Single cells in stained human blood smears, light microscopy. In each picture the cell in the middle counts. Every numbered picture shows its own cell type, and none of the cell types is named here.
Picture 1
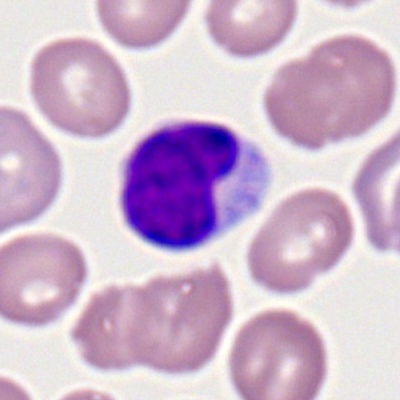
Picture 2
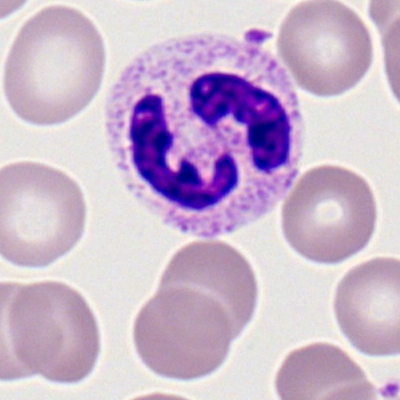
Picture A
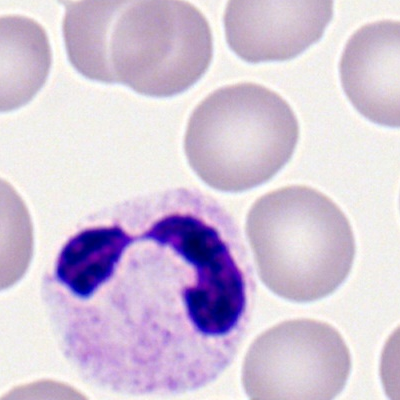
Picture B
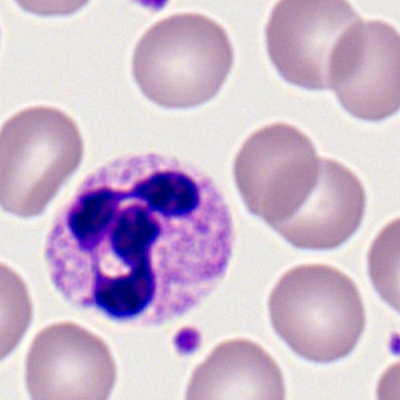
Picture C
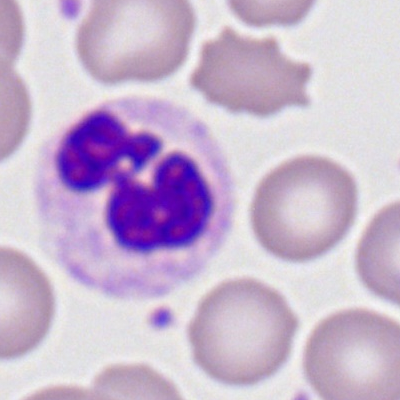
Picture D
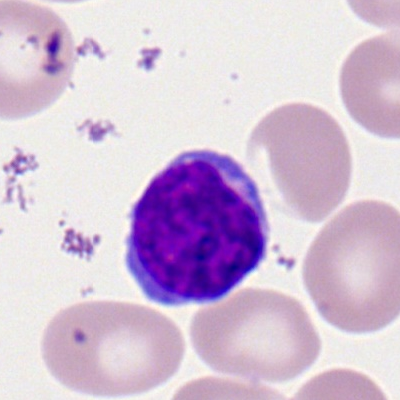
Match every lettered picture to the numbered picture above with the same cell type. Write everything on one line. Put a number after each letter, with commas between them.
A 2, B 2, C 2, D 1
